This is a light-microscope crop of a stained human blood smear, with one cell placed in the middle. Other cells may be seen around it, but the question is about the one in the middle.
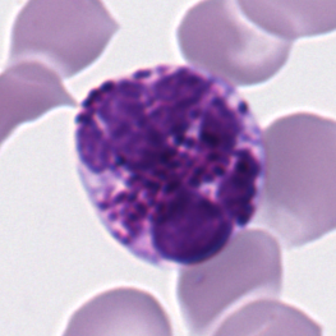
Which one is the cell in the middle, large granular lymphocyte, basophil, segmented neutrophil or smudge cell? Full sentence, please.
The cell of interest, located centrally, is a basophil.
